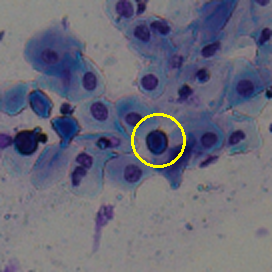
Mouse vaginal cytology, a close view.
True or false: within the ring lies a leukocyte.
False: a nucleated epithelial cell lies within the ring.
